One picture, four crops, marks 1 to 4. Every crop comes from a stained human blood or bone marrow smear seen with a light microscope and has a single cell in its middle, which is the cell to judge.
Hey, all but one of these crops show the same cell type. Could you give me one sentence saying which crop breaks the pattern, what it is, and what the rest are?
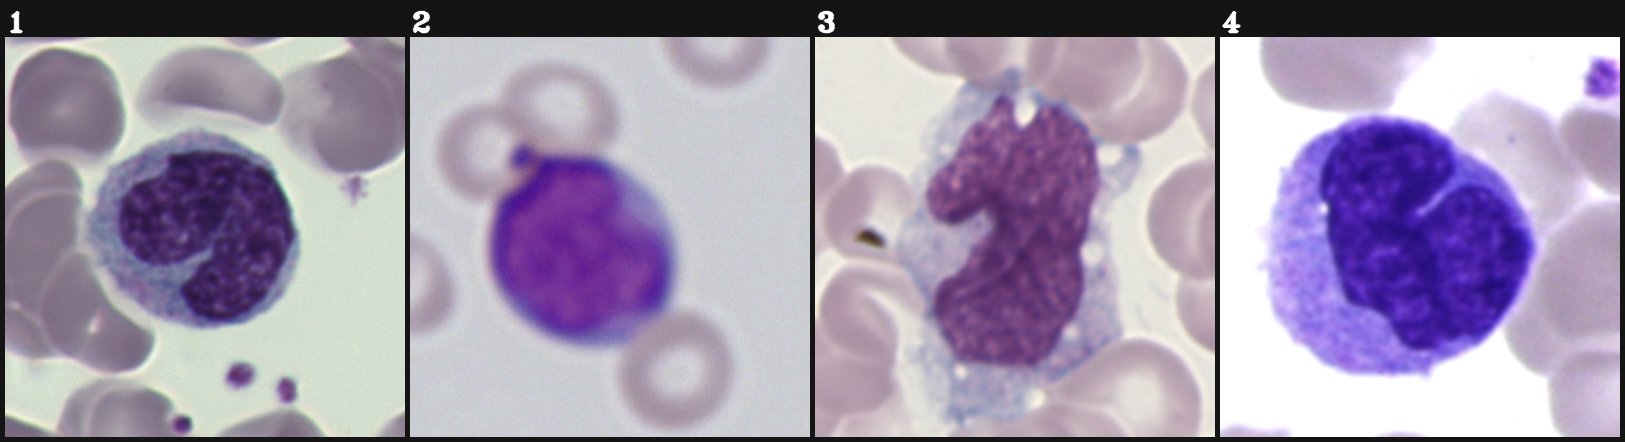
The crop that differs is 2, which is a blast; the rest are monocytes.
